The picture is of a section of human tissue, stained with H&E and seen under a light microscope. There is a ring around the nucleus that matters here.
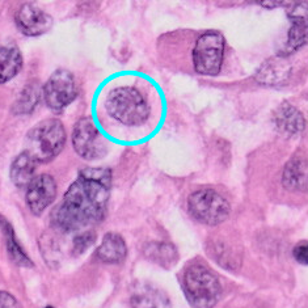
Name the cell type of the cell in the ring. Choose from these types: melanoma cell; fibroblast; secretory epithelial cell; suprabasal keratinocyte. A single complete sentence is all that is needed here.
As classified here, the cell in the ring is a melanoma cell.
